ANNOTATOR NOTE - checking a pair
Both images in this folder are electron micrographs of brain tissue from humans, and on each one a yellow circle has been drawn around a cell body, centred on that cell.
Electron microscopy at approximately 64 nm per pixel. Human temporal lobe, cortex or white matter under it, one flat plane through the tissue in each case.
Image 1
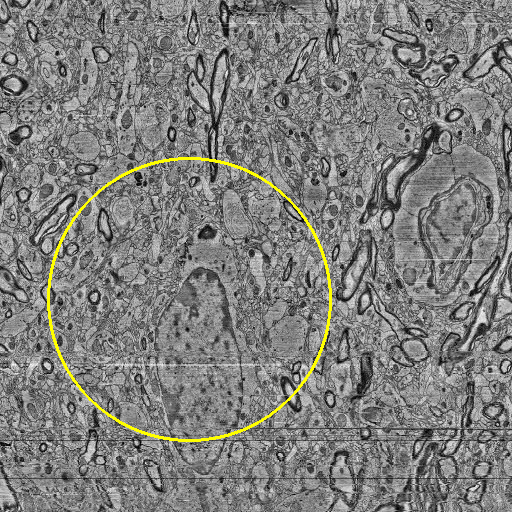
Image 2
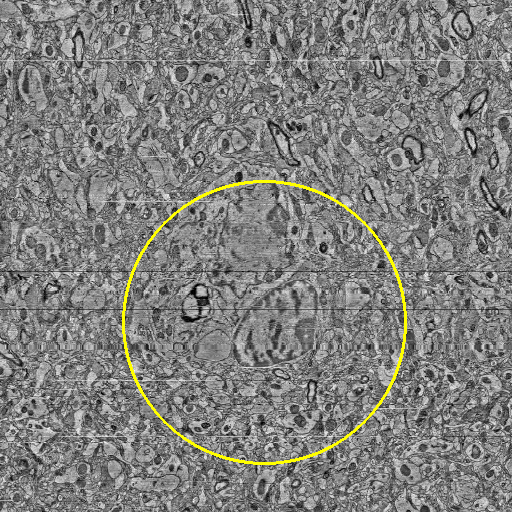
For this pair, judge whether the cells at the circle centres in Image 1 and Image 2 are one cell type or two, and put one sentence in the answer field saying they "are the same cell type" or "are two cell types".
For this pair, the cells at the circle centres in Images 1 and 2 are the same cell type.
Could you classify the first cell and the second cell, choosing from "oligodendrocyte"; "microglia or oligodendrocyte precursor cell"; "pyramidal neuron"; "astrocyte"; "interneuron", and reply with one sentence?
The ring centre holds a microglial cell or oligodendrocyte precursor cell in each of the two pictures.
